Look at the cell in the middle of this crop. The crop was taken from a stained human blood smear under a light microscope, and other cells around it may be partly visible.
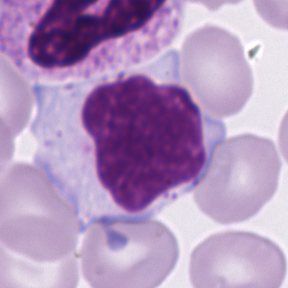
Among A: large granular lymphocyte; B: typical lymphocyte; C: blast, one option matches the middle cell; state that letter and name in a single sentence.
Since the cell in the centre is a large granular lymphocyte, the correct option is A.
